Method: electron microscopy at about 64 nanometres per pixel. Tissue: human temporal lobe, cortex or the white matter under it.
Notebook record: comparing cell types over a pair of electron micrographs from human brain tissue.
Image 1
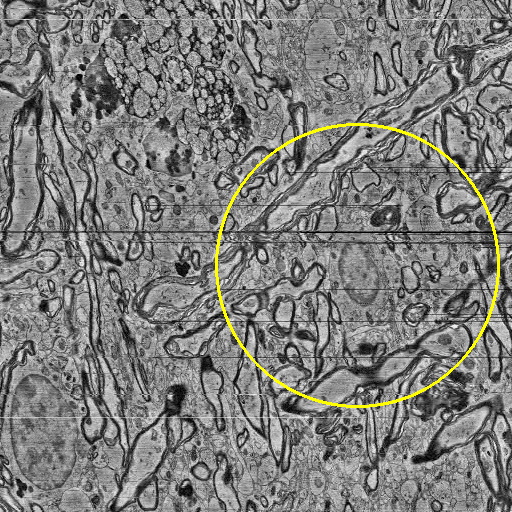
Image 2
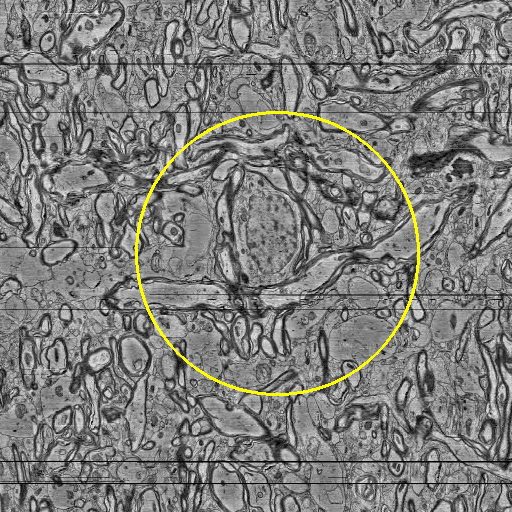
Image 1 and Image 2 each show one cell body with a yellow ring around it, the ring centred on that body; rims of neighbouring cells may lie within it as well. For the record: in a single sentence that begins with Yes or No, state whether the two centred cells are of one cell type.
No, two cell types are found among the centred cells of Image 1 and Image 2.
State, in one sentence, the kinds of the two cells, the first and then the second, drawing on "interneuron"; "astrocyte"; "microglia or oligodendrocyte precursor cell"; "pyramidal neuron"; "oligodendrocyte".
The ring in the second picture is centred on an astrocyte, the ring in the first on an oligodendrocyte.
